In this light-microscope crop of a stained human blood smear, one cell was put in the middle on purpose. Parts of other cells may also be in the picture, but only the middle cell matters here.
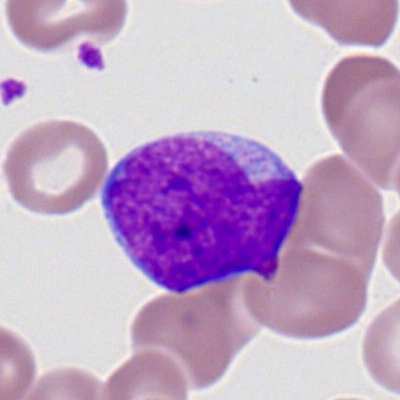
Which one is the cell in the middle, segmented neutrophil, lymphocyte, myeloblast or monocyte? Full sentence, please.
Seen at the centre of the crop is a myeloblast.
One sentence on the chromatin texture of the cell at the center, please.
There is no coarse clumping; the chromatin stays fine throughout.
